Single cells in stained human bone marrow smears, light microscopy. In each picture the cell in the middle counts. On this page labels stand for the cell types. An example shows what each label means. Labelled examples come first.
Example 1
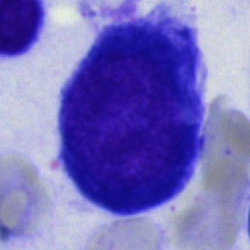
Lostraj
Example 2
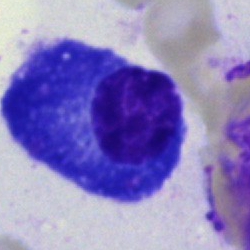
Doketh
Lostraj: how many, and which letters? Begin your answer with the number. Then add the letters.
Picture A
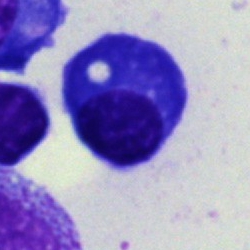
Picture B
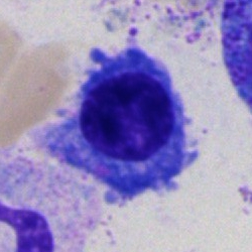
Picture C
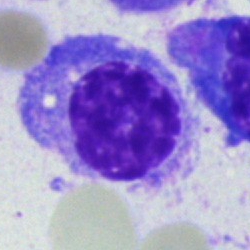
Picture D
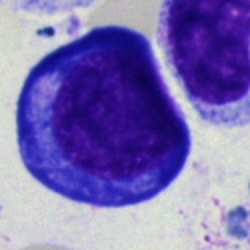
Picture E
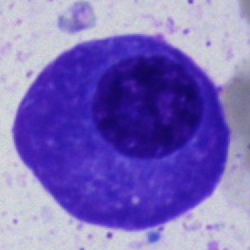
Count: 1 (D)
